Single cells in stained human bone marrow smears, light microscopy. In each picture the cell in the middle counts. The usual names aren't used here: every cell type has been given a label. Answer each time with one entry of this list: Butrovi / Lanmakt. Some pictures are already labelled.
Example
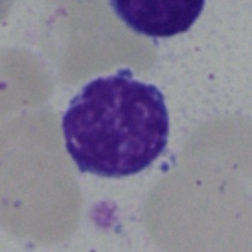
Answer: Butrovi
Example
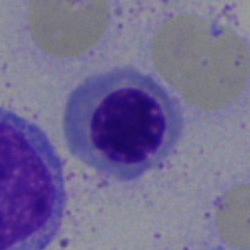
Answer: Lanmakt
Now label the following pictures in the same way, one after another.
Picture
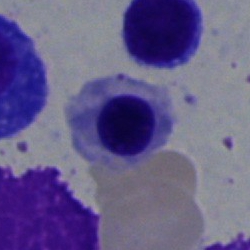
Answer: Lanmakt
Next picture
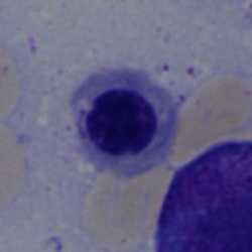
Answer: Lanmakt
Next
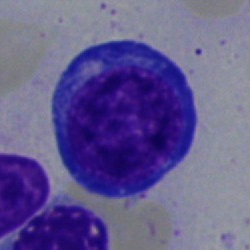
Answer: Lanmakt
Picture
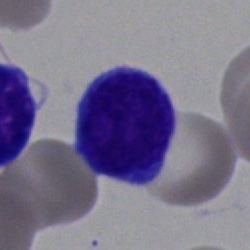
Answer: Butrovi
